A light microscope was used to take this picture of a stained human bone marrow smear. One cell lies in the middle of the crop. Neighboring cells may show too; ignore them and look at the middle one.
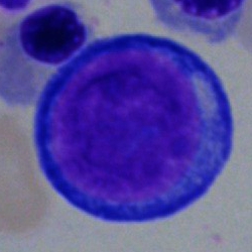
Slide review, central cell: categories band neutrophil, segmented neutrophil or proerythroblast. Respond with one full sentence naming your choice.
Regarding the central cell, it is a proerythroblast.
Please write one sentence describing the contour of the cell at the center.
Happy to help: the outline is smooth and shows no projections.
